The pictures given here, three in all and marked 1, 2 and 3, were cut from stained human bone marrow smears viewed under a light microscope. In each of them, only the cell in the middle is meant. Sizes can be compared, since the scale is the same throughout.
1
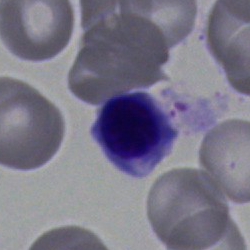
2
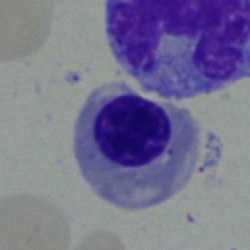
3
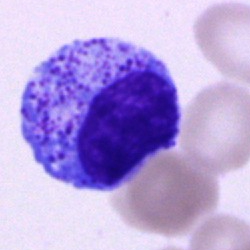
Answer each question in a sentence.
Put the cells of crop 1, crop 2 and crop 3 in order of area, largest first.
From the largest down, the order is 3, 2, 1.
